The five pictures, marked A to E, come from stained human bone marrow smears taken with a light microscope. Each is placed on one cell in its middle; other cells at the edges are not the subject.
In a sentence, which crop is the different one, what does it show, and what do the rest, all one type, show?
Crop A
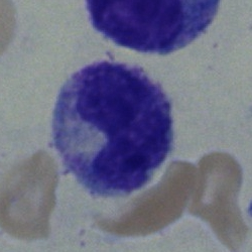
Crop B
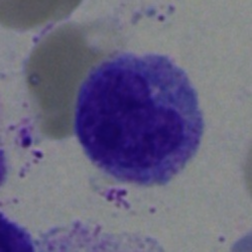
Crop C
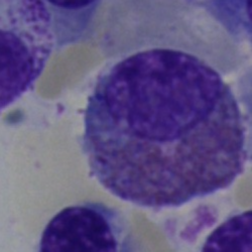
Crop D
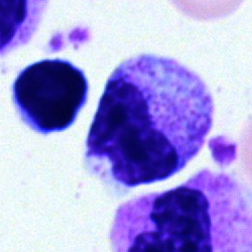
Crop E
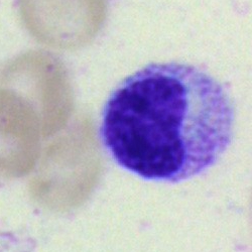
Excluding crop C, which is an eosinophil, the crops all show metamyelocytes.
